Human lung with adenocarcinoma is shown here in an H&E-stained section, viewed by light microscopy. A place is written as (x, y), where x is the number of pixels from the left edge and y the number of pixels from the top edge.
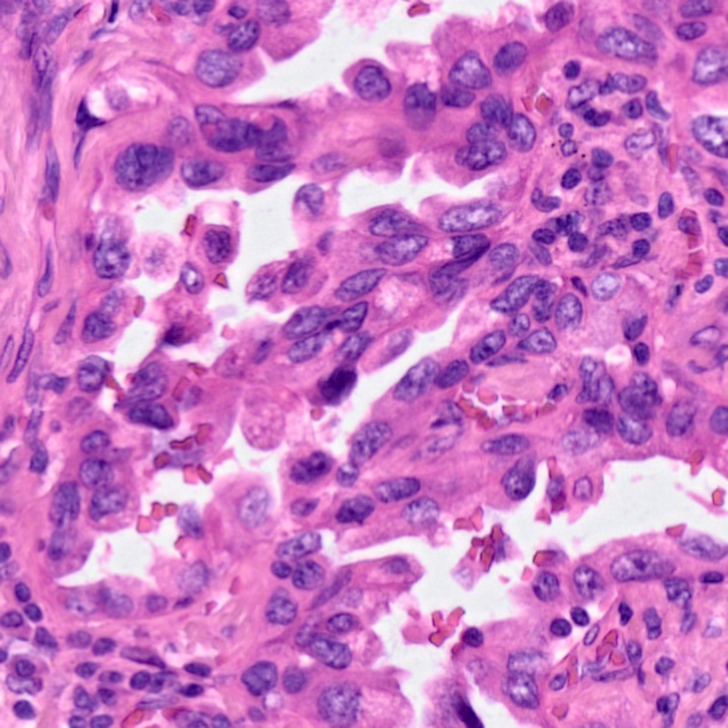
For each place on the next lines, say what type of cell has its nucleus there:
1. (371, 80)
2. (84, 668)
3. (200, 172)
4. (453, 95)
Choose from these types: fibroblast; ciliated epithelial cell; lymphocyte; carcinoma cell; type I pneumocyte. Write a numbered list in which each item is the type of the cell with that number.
1. carcinoma cell
2. lymphocyte
3. carcinoma cell
4. carcinoma cell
